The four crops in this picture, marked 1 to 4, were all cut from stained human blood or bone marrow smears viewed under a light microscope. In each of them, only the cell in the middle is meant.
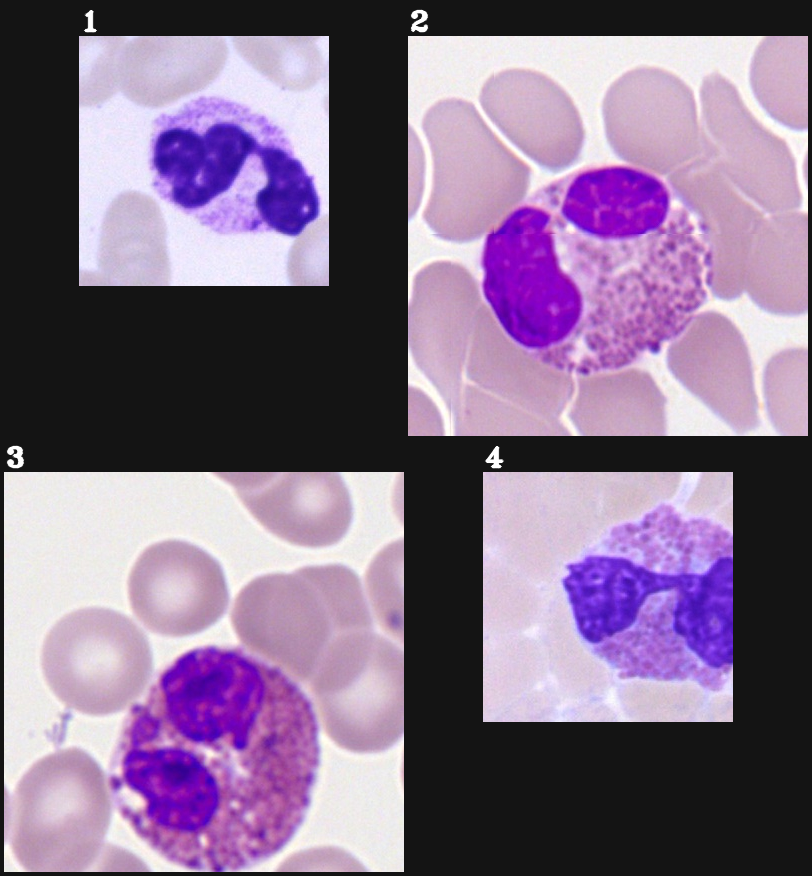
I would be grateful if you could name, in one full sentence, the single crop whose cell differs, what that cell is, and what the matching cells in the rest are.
All the crops show eosinophils except crop 1, which shows a segmented neutrophil.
